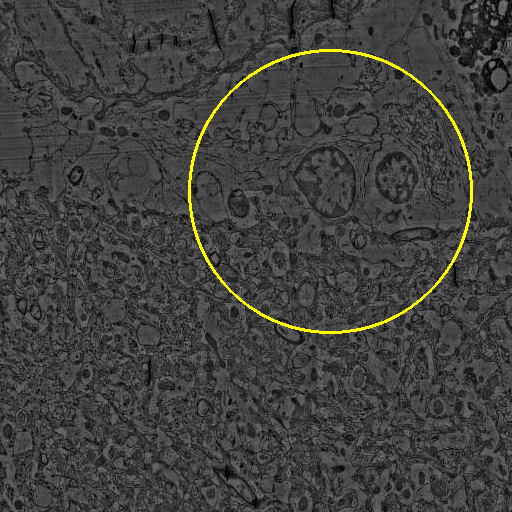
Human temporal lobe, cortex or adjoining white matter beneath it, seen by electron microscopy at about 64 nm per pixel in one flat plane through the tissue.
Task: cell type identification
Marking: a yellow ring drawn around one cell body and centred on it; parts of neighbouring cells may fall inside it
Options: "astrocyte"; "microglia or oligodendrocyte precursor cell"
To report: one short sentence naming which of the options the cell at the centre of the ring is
The cell at the centre of the ring is a microglial cell or oligodendrocyte precursor cell.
